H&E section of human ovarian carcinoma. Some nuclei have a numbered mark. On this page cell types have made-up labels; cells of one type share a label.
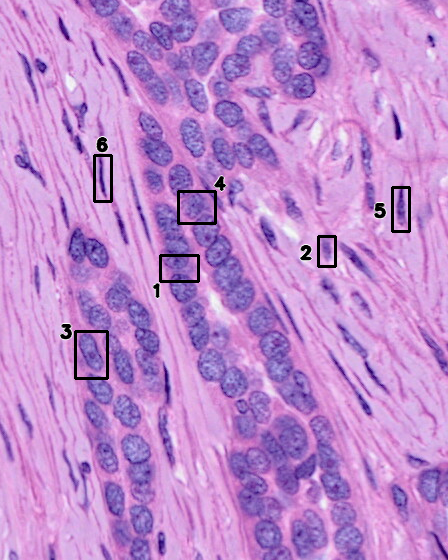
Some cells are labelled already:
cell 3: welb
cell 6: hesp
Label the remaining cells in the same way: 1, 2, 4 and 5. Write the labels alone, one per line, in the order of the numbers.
welb
hesp
welb
hesp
